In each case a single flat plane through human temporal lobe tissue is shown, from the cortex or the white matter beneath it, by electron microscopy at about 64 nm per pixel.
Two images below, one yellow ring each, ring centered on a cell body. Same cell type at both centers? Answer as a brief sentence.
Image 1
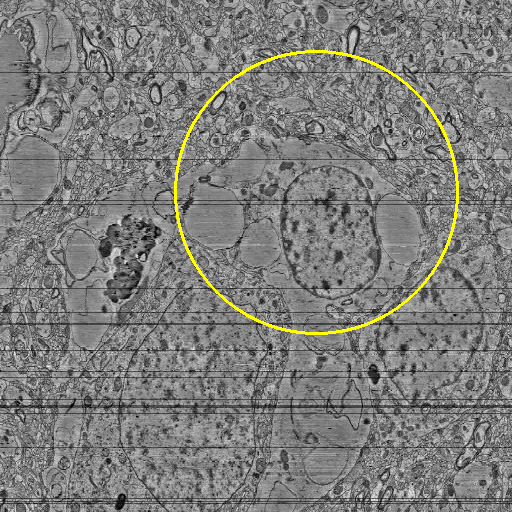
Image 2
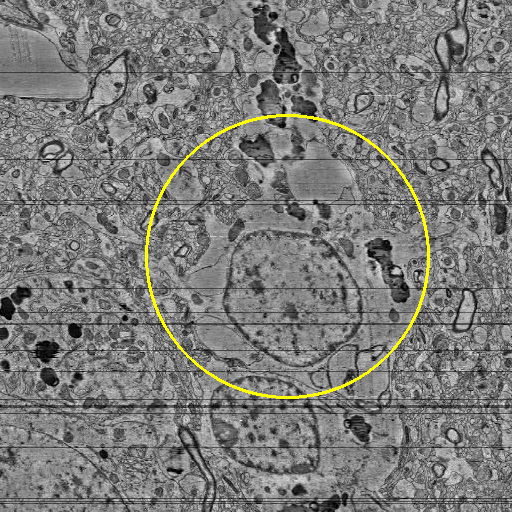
Yes, both cells are of the same type.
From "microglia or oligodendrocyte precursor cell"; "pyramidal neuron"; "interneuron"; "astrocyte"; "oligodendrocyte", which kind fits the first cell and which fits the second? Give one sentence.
In both pictures the ring is centred on an astrocyte.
